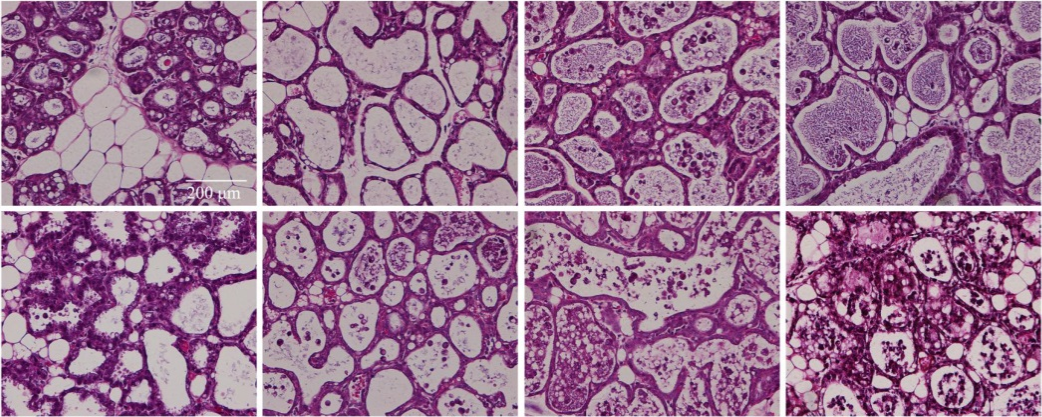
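This block of eight images shows mammary gland tissue stained pink and purple. It is made up of many rounded and irregular alveoli, each lined by a thin layer of epithelial cells with dark purple nuclei. Groups of fat cells appear as empty white polygons between the alveoli, most plainly in the top left image. In several images the lumens also hold scattered dark-stained cells and debris, and the alveoli vary from small and tightly packed to large and distended with thin pink walls between them.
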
